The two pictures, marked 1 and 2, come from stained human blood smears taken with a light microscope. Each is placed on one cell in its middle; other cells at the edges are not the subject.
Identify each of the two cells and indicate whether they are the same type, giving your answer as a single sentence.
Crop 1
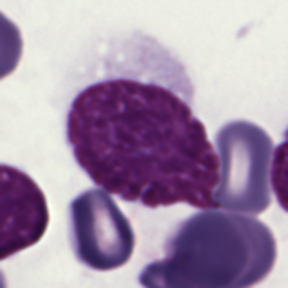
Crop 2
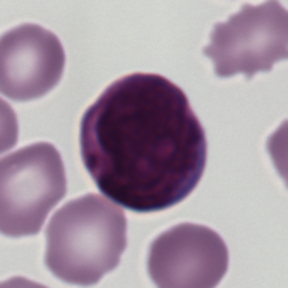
Yes, both crops show myeloblasts, one in each.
